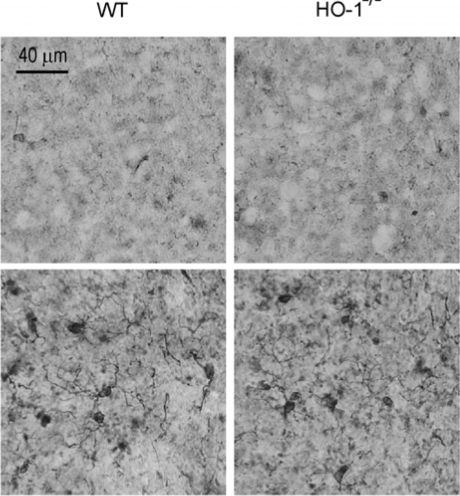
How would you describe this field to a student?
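Four fields of brain tissue with a granular grey background show scattered small dark cells with fine branching processes. In the upper fields only a few faint stained profiles are seen, while in the lower fields the stained cells are more frequent, with darker, rounder bodies and thicker processes. These are microglia, activated in the lower fields.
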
